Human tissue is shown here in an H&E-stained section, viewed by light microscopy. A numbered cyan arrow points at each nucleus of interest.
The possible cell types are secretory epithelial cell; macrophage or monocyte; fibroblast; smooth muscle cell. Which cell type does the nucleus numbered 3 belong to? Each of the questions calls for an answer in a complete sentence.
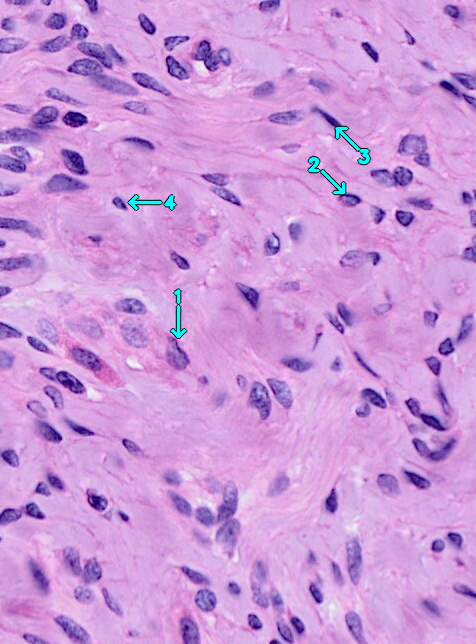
What the number 3 marks in this field is a fibroblast.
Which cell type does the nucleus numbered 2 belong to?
The cell identified by the number 2 is a fibroblast.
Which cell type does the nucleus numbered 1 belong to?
The cell that goes by number 1 is a smooth muscle cell.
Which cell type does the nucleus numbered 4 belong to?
Of the numbered cells, the one labelled 4 is a fibroblast.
